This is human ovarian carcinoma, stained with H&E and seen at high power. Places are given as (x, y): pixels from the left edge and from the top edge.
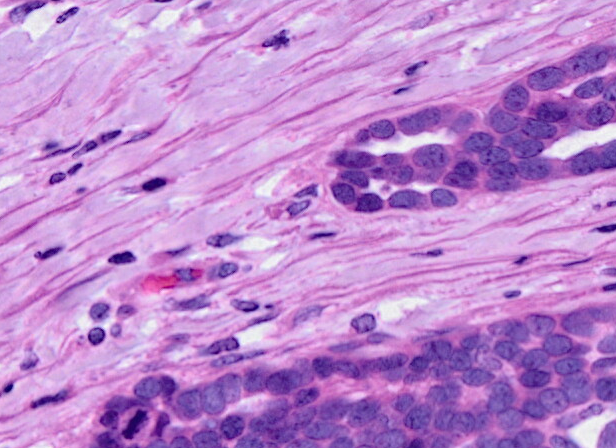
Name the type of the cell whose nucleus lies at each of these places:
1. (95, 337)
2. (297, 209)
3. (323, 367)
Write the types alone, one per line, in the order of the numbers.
lymphocyte
fibroblast
carcinoma cell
